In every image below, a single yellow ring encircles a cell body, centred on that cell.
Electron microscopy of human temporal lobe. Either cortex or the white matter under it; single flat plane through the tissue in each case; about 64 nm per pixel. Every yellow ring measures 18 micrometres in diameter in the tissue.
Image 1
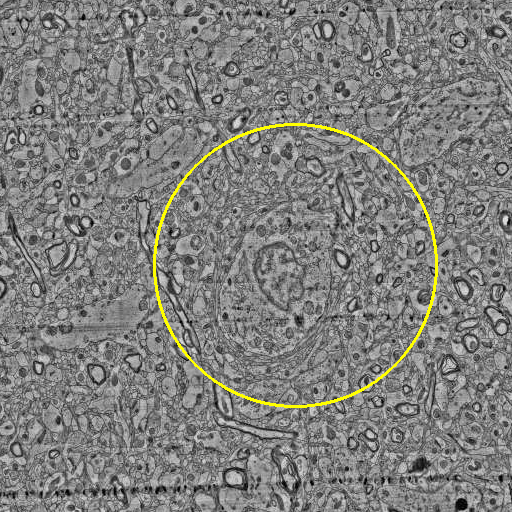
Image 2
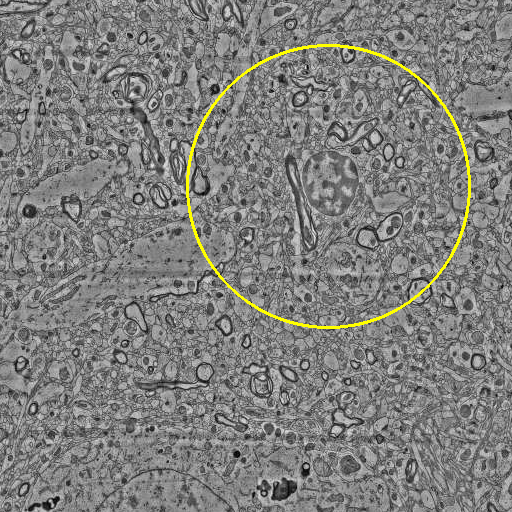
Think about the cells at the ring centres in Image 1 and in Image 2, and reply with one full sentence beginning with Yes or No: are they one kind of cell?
No, the cells centred in the rings of Image 1 and Image 2 are two kinds of cell.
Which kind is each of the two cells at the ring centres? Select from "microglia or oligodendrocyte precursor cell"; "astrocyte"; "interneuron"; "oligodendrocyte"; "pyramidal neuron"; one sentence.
The cell at the centre of the ring is a pyramidal neuron in the first picture and a microglial cell or oligodendrocyte precursor cell in the second.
